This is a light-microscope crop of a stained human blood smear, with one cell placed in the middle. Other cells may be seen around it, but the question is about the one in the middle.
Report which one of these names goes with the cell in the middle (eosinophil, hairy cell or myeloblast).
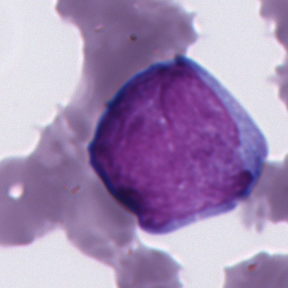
myeloblast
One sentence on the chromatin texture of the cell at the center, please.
Answer: the chromatin is fine and has no coarse clumps.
